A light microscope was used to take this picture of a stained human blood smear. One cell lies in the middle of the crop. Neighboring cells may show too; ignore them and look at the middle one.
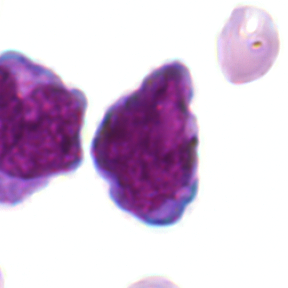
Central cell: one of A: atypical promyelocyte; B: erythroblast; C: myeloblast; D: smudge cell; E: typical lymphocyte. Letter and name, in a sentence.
The centrally located cell is an atypical promyelocyte, making option A the correct choice.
